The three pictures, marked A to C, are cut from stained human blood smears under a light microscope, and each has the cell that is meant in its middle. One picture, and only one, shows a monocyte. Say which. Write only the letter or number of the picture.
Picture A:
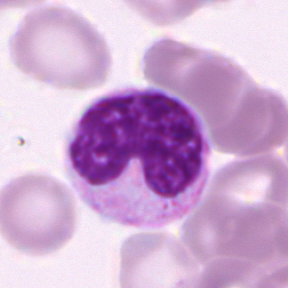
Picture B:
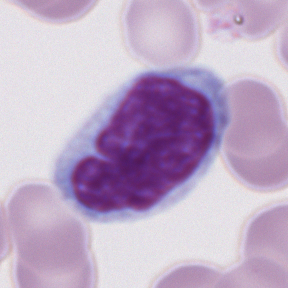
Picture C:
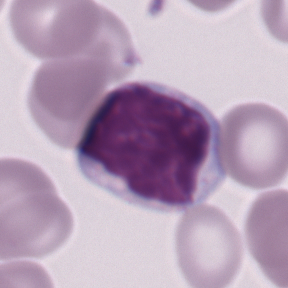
B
